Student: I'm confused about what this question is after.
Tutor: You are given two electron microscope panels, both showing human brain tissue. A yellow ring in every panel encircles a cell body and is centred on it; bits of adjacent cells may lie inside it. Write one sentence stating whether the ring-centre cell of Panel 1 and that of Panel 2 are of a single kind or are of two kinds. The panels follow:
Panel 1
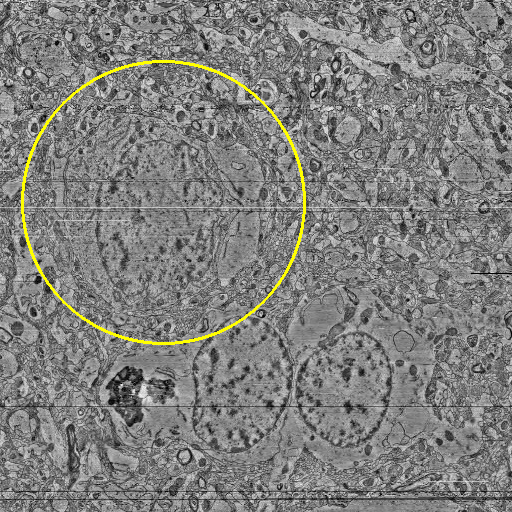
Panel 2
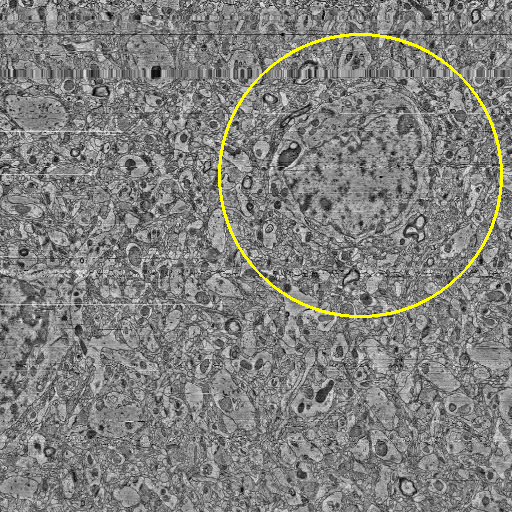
Here, the Panel 1 ring-centre cell and the Panel 2 ring-centre cell are of a single kind.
